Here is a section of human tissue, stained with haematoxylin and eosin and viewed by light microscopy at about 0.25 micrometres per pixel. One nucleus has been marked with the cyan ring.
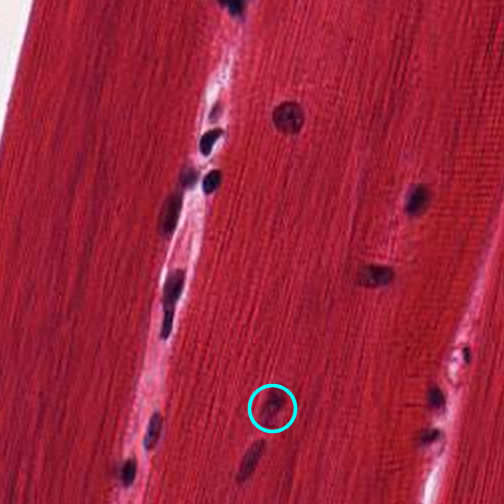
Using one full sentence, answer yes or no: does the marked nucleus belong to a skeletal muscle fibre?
Yes, the marked nucleus is held by a skeletal muscle fibre.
